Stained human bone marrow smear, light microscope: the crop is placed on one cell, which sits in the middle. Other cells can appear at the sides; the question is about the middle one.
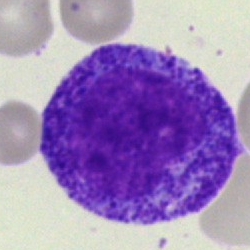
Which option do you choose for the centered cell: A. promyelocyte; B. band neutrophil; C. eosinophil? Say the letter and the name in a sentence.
What option A states is correct, the central cell being a promyelocyte.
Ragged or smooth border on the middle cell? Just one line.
In short, the margin is smooth with no projections at all.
